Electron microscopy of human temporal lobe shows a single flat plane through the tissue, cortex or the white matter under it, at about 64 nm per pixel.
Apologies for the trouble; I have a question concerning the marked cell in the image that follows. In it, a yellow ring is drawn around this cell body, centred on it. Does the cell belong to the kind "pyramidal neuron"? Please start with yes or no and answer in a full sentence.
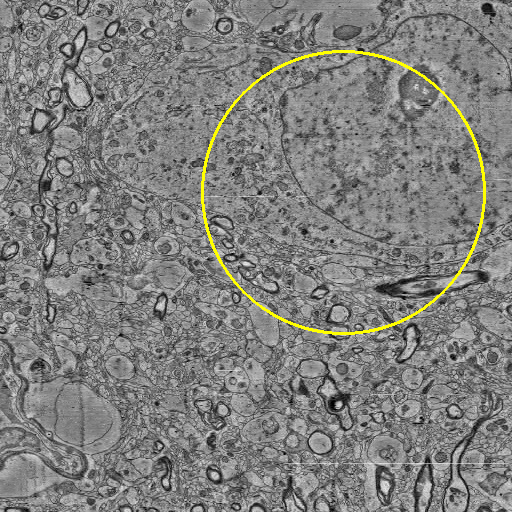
Yes, the cell at the centre of the ring in the picture is of that kind.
